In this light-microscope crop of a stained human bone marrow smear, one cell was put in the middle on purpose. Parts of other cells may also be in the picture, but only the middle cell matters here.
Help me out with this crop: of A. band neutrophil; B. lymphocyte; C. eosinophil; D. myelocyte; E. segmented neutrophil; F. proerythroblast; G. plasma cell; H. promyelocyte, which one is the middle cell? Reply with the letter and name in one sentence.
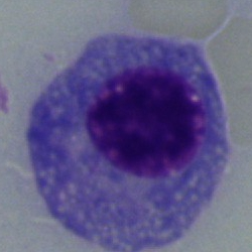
The cell at the centre, correctly named in option G, is a plasma cell.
